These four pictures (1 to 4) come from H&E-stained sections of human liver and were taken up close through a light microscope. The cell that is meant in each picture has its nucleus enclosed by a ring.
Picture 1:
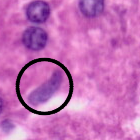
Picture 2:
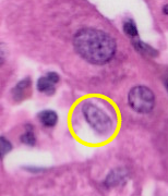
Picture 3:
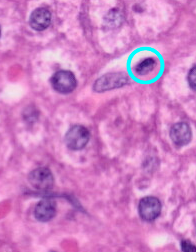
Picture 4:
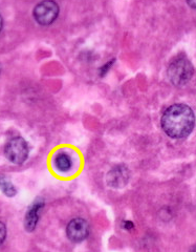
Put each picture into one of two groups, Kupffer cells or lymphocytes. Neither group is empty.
1: Kupffer cell
2: Kupffer cell
3: lymphocyte
4: lymphocyte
